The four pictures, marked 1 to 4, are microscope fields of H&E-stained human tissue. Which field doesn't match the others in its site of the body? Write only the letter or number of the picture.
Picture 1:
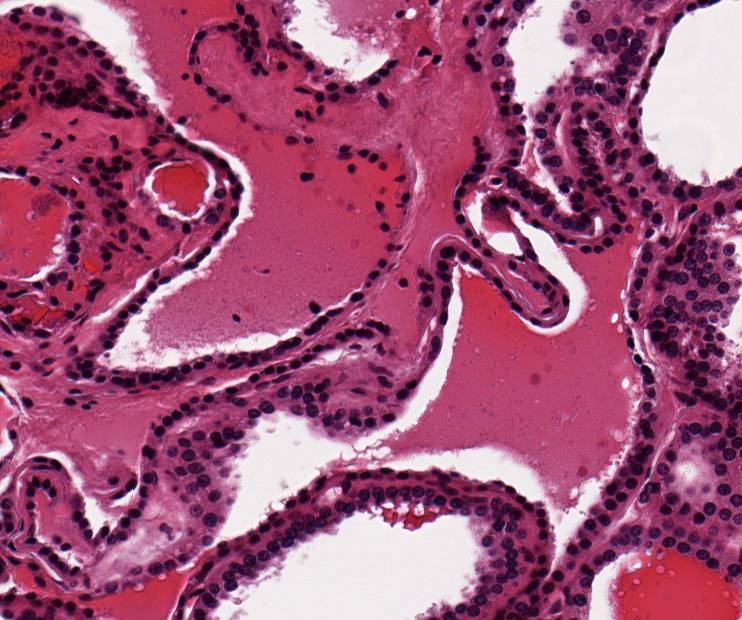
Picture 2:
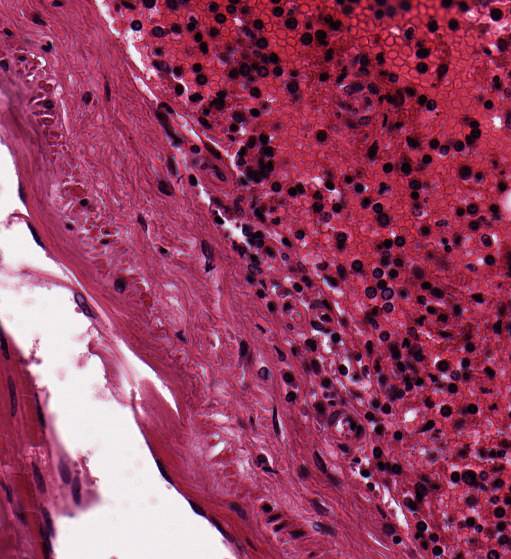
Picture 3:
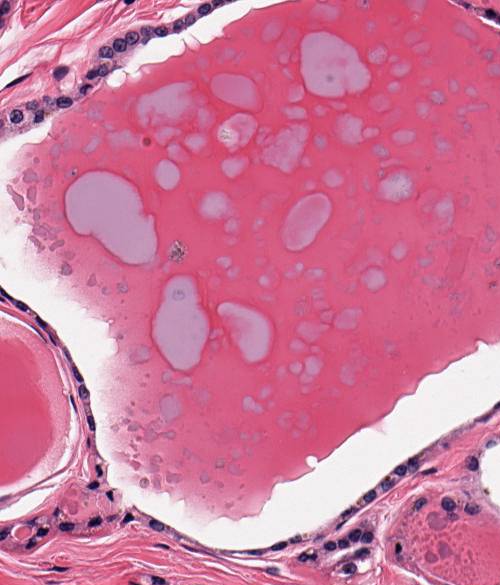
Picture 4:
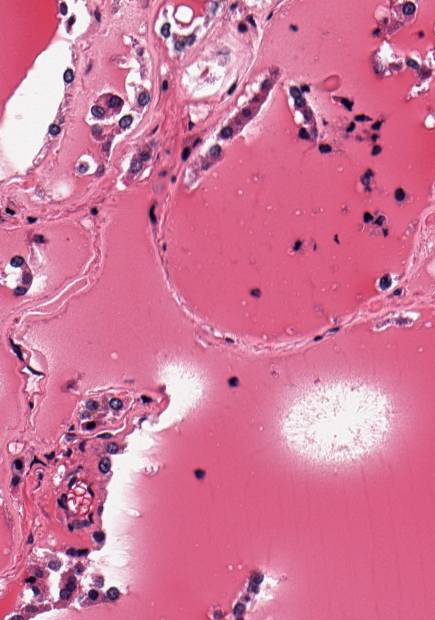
2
